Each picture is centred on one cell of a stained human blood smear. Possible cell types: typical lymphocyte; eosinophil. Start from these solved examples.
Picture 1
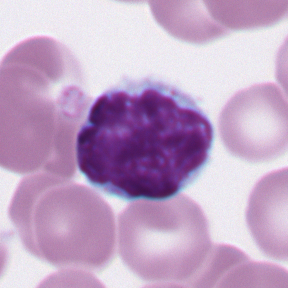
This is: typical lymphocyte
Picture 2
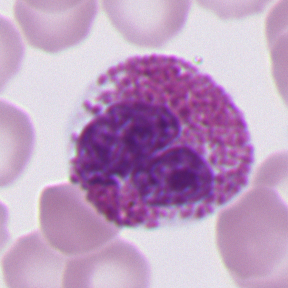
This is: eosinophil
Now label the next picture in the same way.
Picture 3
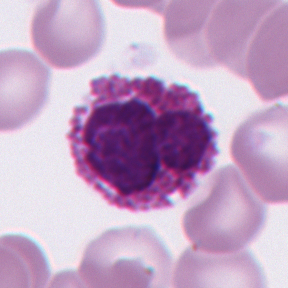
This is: eosinophil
